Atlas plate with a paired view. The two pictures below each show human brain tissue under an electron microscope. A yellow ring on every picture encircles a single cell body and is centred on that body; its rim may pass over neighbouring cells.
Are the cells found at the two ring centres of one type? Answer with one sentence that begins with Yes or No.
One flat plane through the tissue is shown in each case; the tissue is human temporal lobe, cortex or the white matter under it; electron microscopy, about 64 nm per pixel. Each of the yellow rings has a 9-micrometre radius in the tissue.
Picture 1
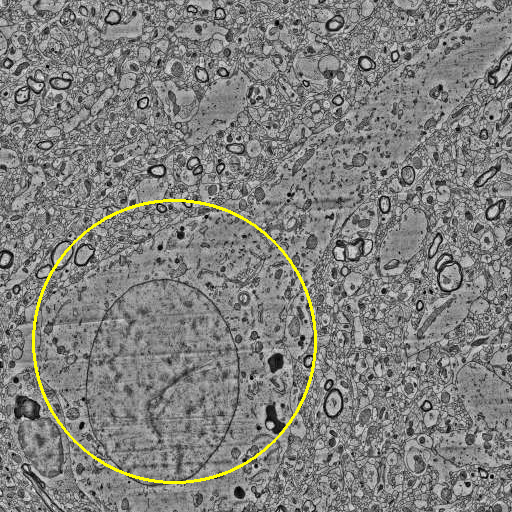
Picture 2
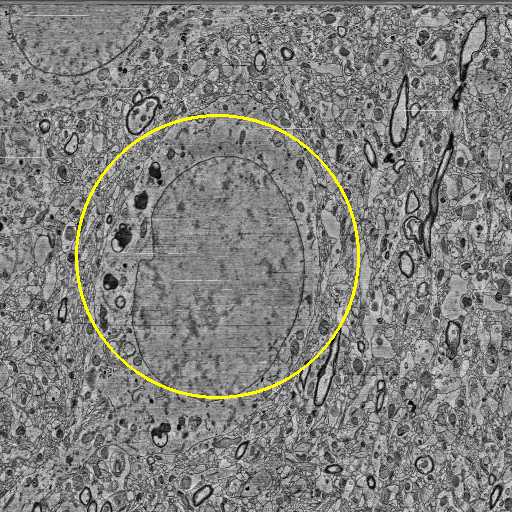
Yes, the two cells lying at the centres of the rings share a single type.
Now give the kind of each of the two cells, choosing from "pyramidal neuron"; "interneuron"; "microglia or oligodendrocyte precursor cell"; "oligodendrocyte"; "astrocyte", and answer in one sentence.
In both pictures the ring is centred on a pyramidal neuron.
